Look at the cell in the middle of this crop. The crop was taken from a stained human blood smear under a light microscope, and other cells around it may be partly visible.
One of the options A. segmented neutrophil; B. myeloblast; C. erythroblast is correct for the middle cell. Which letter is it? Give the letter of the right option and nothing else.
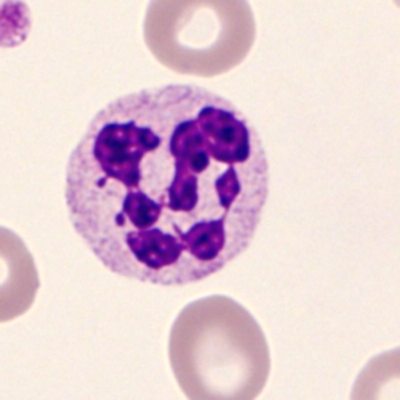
A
